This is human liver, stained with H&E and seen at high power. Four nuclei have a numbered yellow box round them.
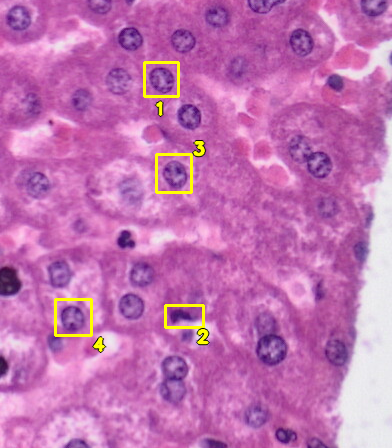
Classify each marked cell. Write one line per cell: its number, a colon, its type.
1: hepatocyte
2: endothelial cell
3: hepatocyte
4: hepatocyte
